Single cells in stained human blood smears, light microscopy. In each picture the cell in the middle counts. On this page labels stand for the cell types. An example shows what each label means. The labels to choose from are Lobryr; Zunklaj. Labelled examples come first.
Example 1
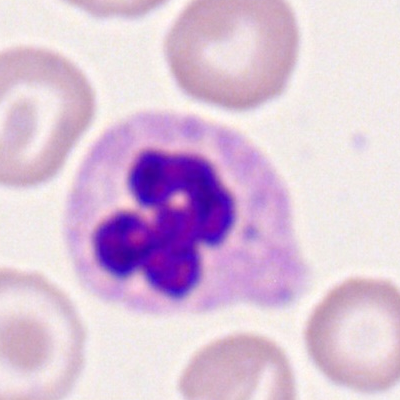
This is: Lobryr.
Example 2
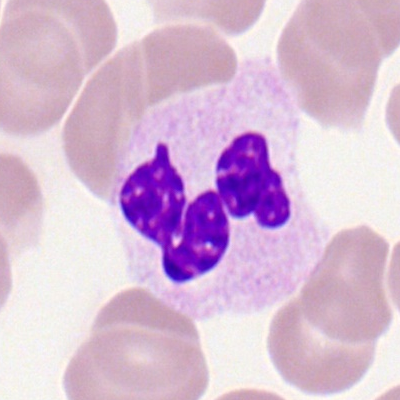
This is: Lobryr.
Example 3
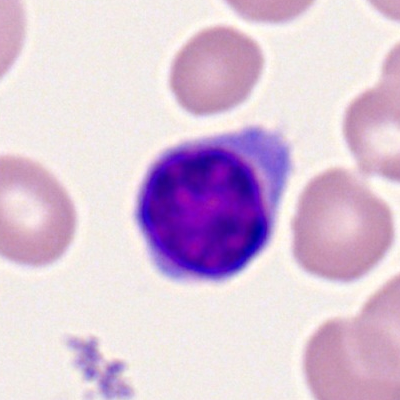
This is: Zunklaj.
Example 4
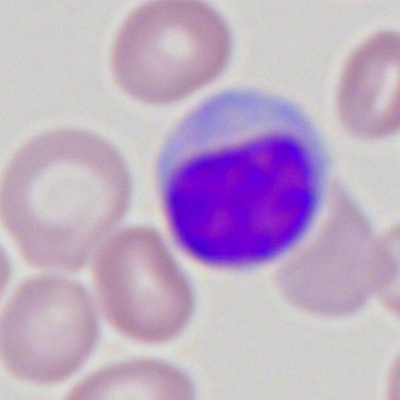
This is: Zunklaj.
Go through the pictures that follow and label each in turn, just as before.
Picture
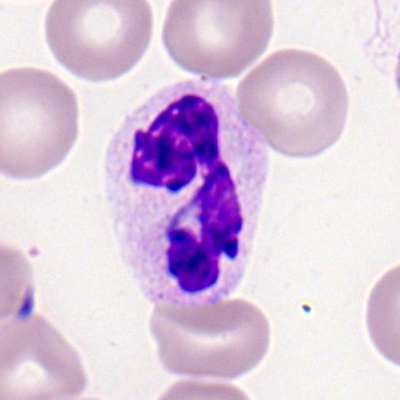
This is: Lobryr.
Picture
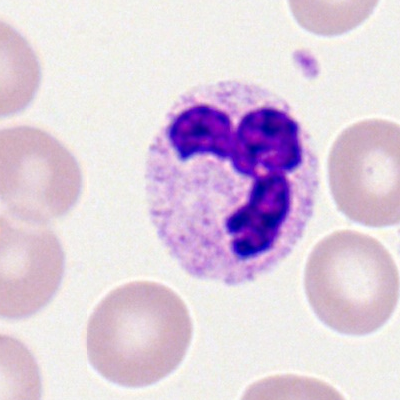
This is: Lobryr.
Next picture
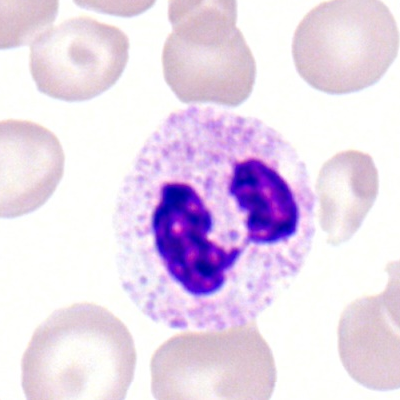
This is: Lobryr.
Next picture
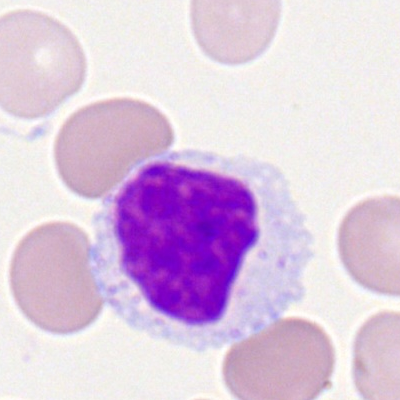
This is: Zunklaj.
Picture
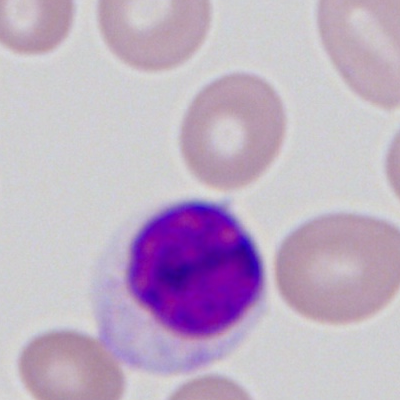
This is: Zunklaj.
